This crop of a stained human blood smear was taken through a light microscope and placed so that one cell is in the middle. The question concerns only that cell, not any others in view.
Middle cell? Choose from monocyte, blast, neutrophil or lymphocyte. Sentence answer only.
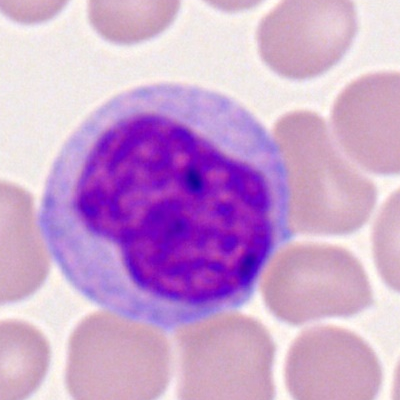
Where the crop is centred, there is a monocyte.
